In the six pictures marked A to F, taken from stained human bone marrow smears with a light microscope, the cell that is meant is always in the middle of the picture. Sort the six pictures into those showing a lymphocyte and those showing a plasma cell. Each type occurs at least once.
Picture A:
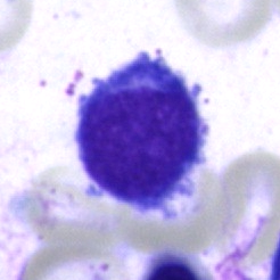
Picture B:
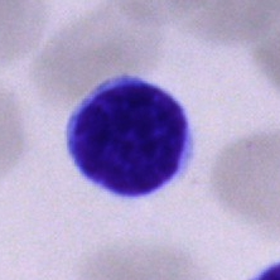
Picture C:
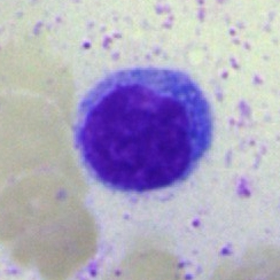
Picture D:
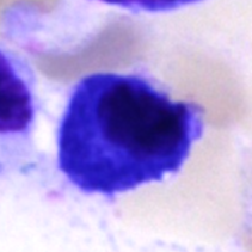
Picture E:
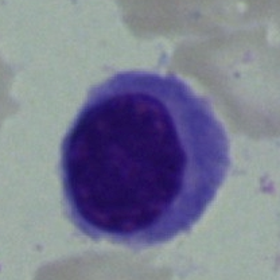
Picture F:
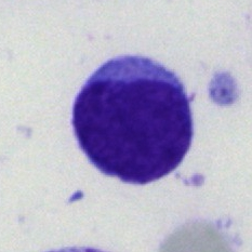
A: lymphocyte
B: lymphocyte
C: lymphocyte
D: plasma cell
E: plasma cell
F: lymphocyte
